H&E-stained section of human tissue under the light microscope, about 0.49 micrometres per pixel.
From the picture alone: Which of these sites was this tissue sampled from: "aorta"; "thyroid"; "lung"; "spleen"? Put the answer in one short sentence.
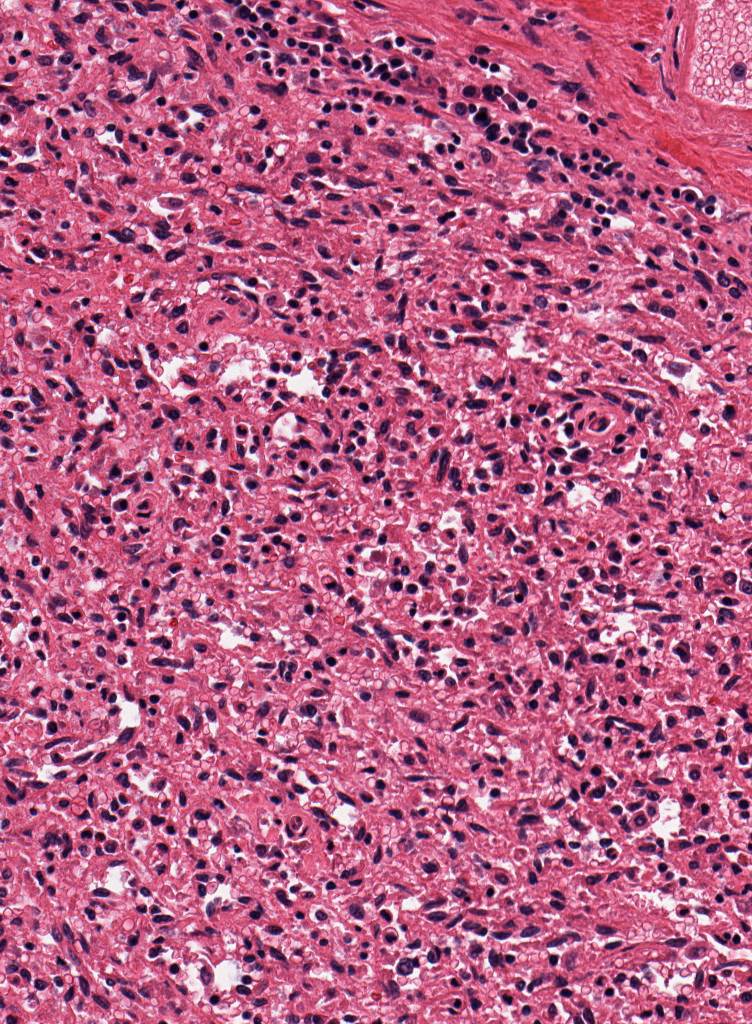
The site this tissue was sampled from is the spleen.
